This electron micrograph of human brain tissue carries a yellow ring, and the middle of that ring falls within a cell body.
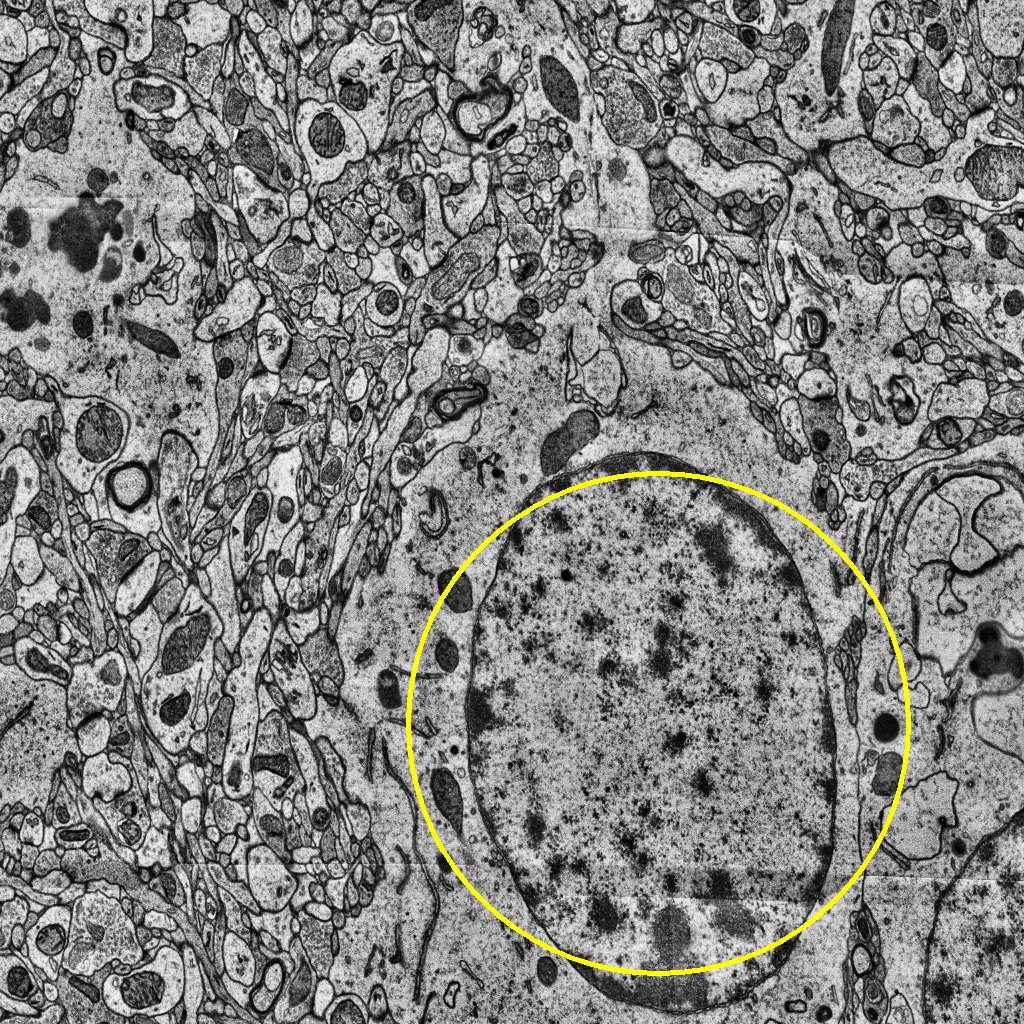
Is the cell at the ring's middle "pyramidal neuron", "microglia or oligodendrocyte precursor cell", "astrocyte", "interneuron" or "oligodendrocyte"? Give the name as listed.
astrocyte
